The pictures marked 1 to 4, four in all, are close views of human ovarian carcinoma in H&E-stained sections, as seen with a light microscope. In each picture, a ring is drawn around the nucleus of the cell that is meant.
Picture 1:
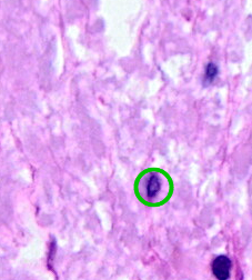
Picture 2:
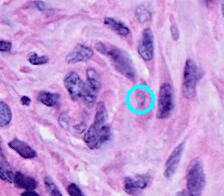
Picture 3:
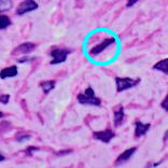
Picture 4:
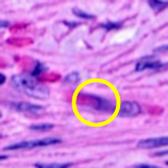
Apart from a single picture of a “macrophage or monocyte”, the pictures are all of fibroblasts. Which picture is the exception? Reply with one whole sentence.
It is picture 1 that shows the “macrophage or monocyte”.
